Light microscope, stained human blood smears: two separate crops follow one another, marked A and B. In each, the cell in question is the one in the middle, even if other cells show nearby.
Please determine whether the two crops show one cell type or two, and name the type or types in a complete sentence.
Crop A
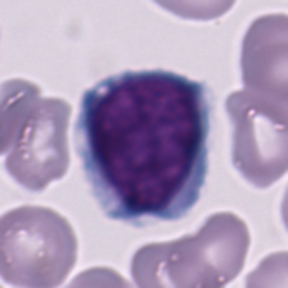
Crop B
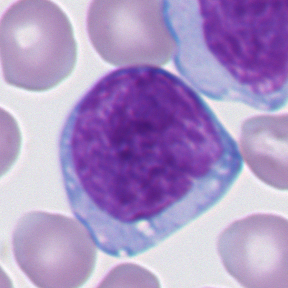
Yes, the cells in both crops are myeloblasts.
